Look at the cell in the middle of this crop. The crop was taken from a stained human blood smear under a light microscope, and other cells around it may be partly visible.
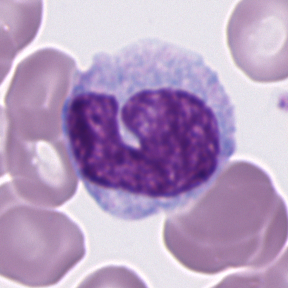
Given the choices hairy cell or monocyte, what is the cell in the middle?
monocyte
